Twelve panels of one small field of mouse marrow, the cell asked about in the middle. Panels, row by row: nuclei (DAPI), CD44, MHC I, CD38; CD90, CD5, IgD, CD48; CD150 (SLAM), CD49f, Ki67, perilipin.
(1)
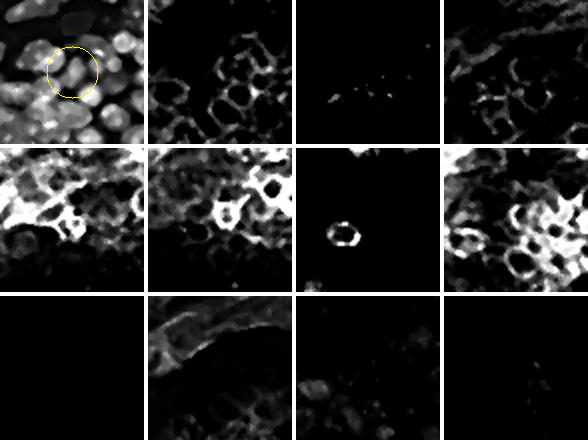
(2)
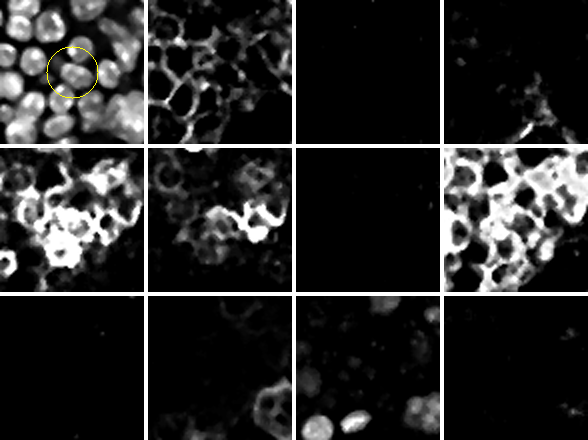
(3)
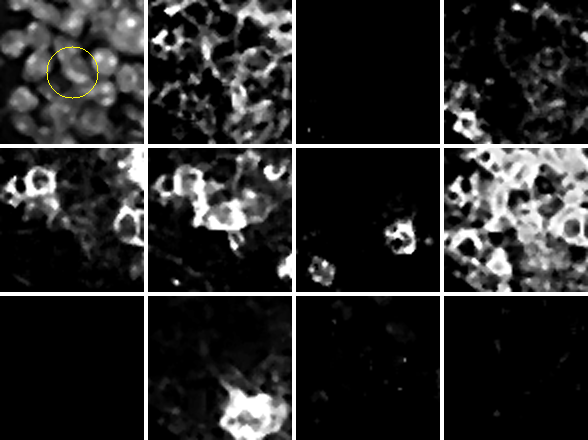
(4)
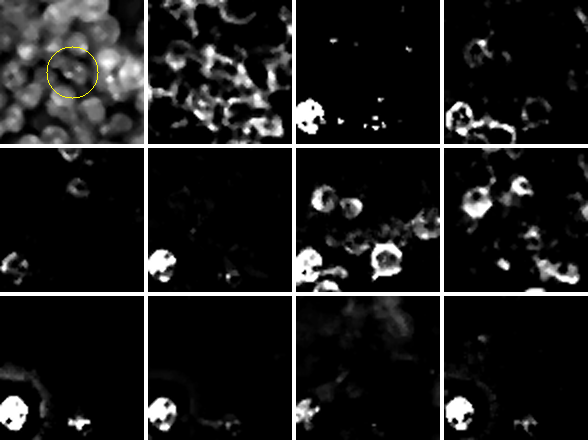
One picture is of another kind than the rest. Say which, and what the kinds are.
Picture 4 shows a neutrophil; the rest show T cells.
